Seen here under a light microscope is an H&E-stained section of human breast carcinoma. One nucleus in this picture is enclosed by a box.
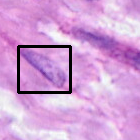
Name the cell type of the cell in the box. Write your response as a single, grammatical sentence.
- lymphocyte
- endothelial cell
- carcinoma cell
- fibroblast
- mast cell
By cell type, the cell in the box is a fibroblast.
